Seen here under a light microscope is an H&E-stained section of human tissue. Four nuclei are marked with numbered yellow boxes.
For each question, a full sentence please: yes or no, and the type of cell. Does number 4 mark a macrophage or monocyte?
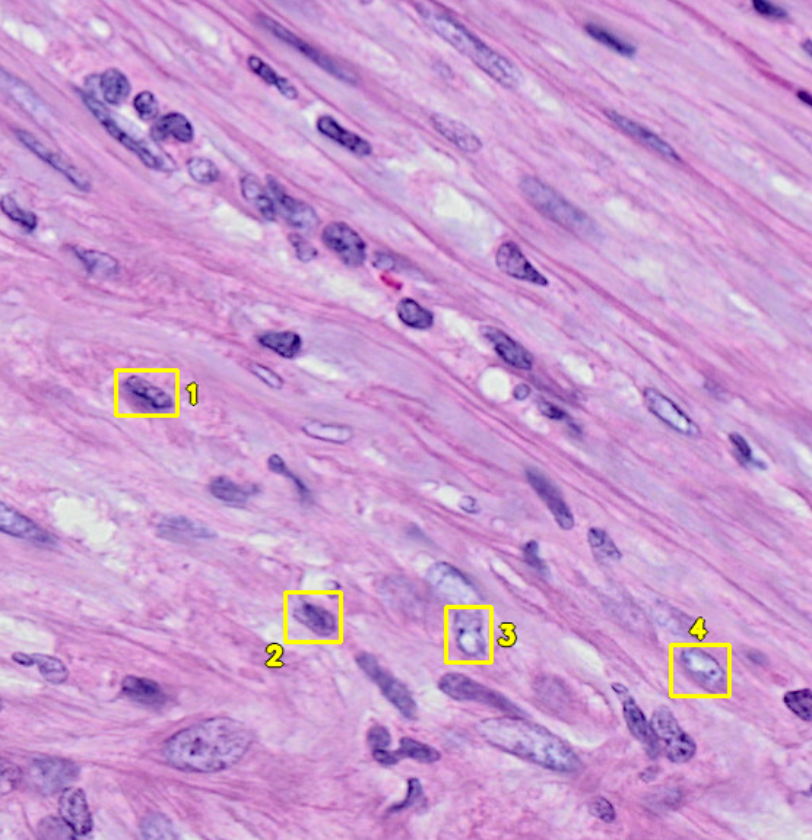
No, the cell under number 4 is a fibroblast, not a macrophage or monocyte.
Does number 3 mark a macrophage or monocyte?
No, what number 3 shows is a fibroblast, not a macrophage or monocyte.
